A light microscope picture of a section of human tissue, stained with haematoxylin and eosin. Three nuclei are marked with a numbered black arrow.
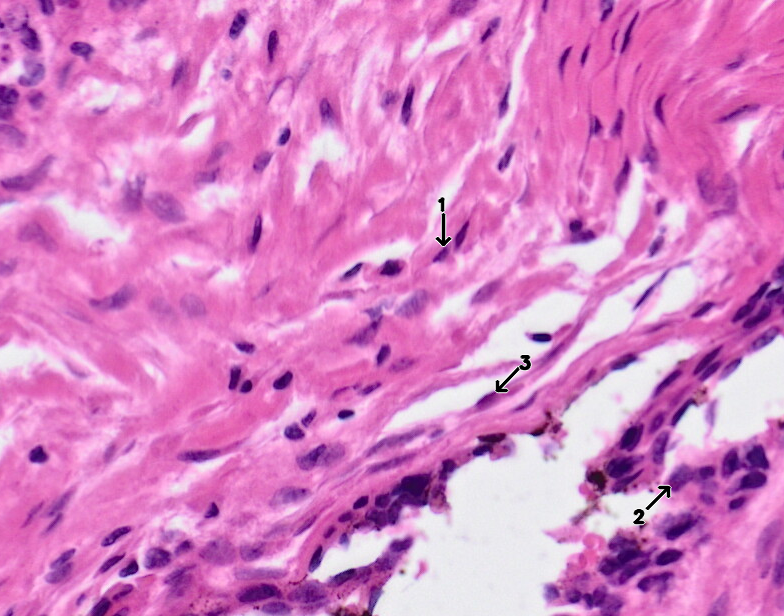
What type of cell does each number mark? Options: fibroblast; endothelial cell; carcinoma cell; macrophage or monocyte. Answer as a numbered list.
1. fibroblast
2. carcinoma cell
3. fibroblast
